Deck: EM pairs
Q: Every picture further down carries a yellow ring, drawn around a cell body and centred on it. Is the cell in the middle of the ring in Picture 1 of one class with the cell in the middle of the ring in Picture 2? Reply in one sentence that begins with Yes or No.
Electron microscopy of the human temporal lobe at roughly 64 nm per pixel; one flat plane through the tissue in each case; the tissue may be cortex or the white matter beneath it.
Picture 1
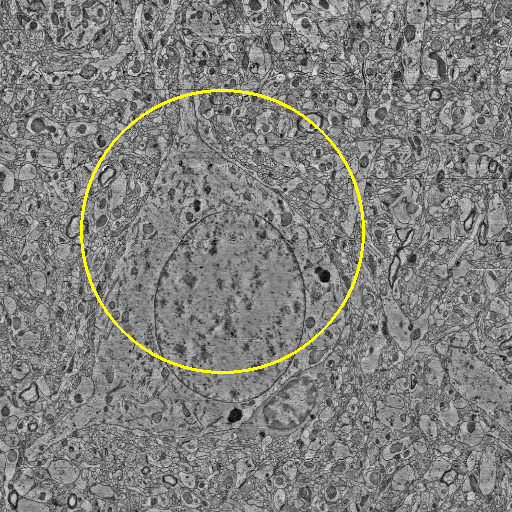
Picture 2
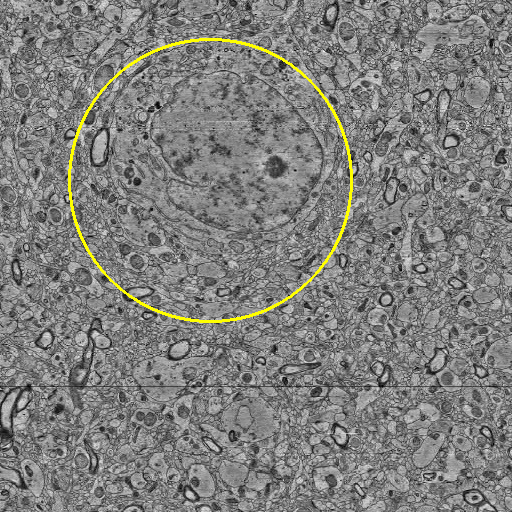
No, the cell centred in the ring of Picture 1 and the one in Picture 2 belong to separate classes.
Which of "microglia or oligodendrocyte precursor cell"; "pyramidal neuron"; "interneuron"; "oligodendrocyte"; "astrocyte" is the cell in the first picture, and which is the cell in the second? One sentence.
The two differ: the first cell is a pyramidal neuron and the second is an interneuron.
